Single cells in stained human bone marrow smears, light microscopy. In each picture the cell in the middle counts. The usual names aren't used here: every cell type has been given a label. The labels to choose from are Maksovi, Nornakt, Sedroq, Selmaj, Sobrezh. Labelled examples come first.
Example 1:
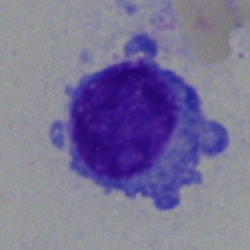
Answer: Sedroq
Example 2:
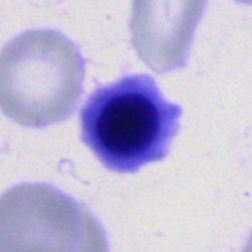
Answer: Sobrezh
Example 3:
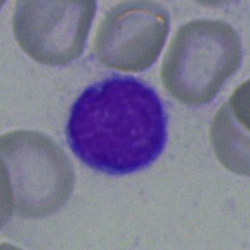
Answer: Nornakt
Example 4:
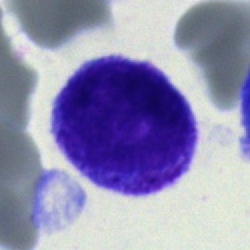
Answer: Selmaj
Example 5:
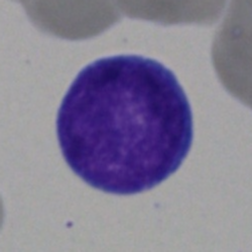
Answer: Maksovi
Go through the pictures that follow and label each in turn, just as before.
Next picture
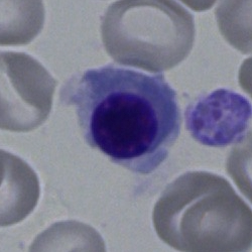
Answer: Sobrezh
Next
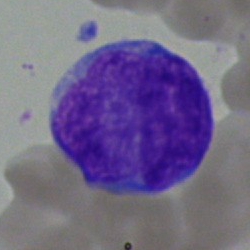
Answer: Maksovi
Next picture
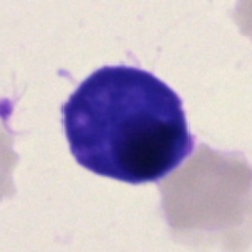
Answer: Sedroq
